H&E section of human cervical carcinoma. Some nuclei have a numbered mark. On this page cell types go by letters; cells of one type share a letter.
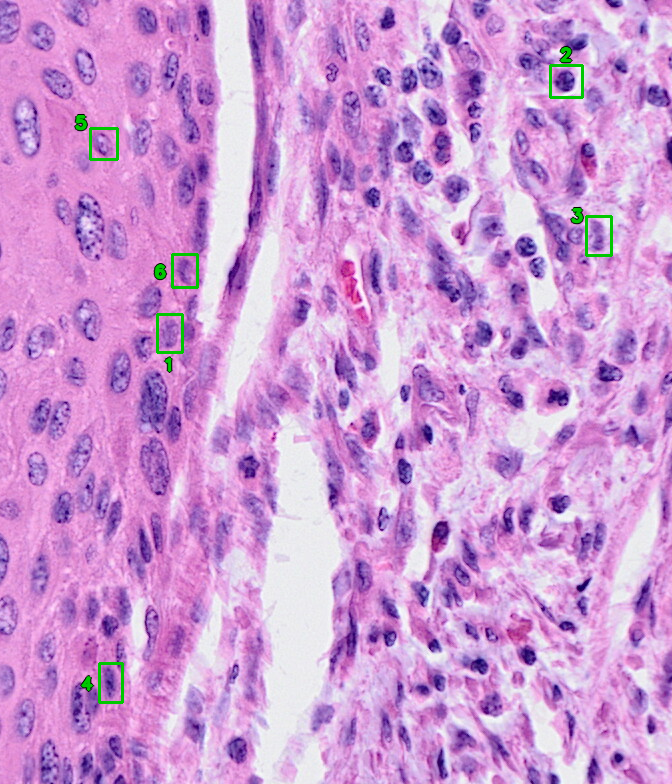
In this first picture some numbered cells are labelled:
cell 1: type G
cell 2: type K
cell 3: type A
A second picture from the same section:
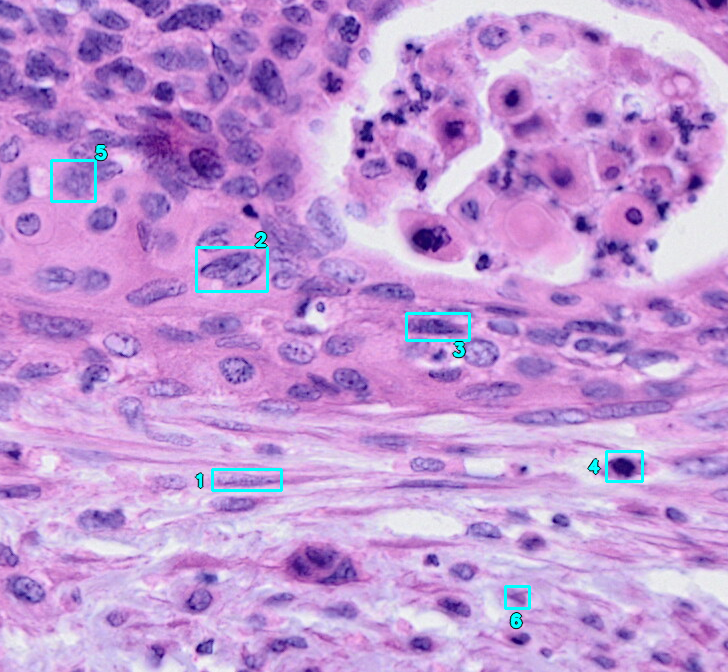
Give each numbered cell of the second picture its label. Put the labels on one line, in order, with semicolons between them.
type A; type G; type G; type K; type G; type A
